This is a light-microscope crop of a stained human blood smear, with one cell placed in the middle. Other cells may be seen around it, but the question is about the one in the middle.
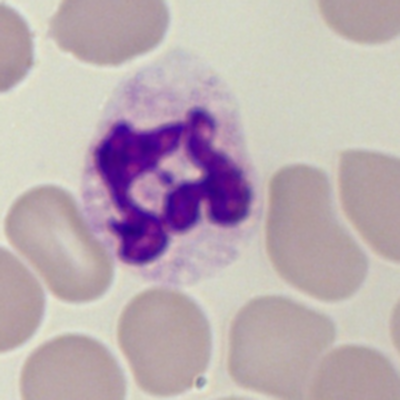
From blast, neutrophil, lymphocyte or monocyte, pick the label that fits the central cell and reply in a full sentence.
The cell found in the middle of this crop is a neutrophil.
